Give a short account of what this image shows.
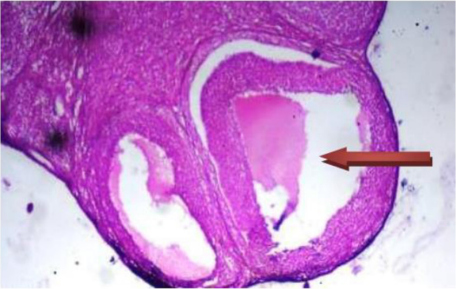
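This low-power view of ovary shows large follicles with wide cavities in a purple-staining stroma. The biggest follicle has a thick wall of densely packed small granulosa cells surrounding a large antrum that holds pink, homogeneous fluid together with clear spaces. A second follicle beside it has an irregular, elongated cavity with pale pink content. The walls of both follicles are many cells thick, and a thin darker rim outlines the organ's surface at the lower edge.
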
